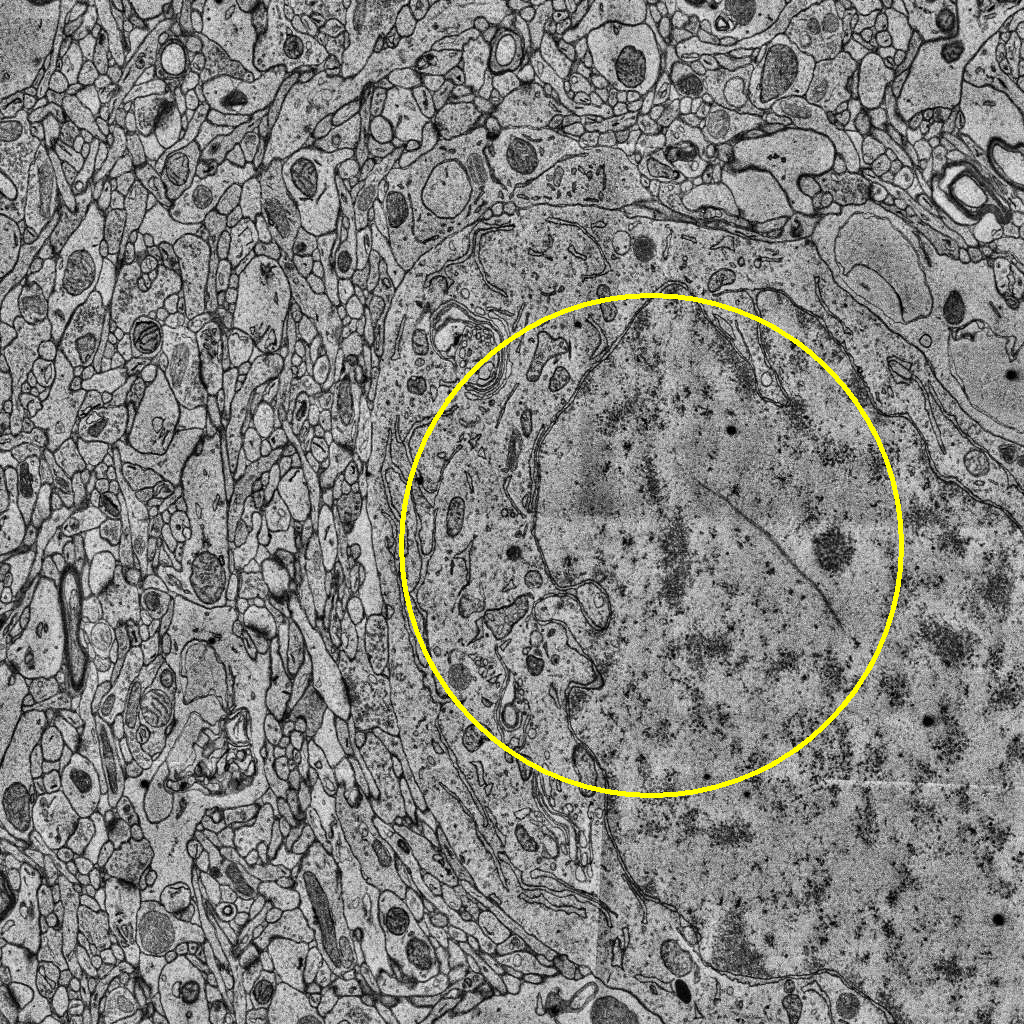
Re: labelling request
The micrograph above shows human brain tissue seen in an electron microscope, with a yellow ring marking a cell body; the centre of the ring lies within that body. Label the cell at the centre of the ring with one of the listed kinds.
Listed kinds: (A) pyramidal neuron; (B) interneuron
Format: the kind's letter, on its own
B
